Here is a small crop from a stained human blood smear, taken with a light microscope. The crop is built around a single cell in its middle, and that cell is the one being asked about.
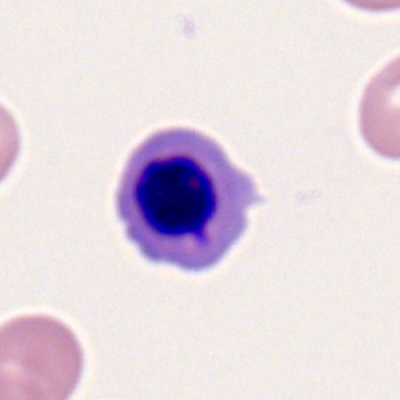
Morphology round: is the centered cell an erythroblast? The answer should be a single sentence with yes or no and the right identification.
Yes, the cell at the center of the crop is an erythroblast.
